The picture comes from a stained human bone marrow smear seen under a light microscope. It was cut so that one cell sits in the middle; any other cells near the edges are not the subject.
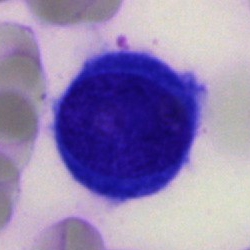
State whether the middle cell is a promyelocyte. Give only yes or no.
no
